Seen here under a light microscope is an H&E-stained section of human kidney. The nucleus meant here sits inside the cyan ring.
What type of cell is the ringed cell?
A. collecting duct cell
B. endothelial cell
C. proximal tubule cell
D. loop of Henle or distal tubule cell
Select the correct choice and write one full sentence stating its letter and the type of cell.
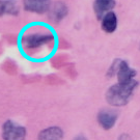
Hey, it is option B: the ringed cell is an endothelial cell.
